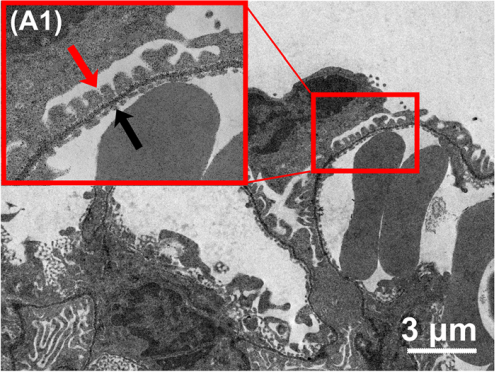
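Glomerular capillary with red blood cells filling the lumen, bounded by a thin endothelial lining, a continuous dense basement membrane and outer podocytes. An enlarged inset shows the regularly spaced podocyte foot processes resting on the outer side of the basement membrane, with the thin endothelium facing the lumen.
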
